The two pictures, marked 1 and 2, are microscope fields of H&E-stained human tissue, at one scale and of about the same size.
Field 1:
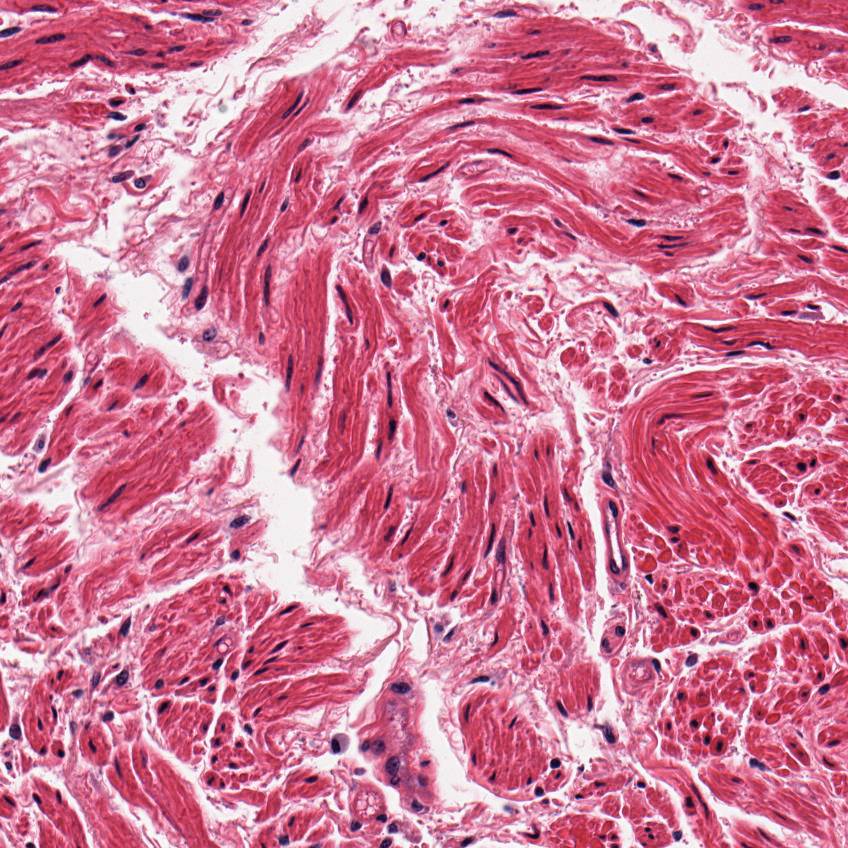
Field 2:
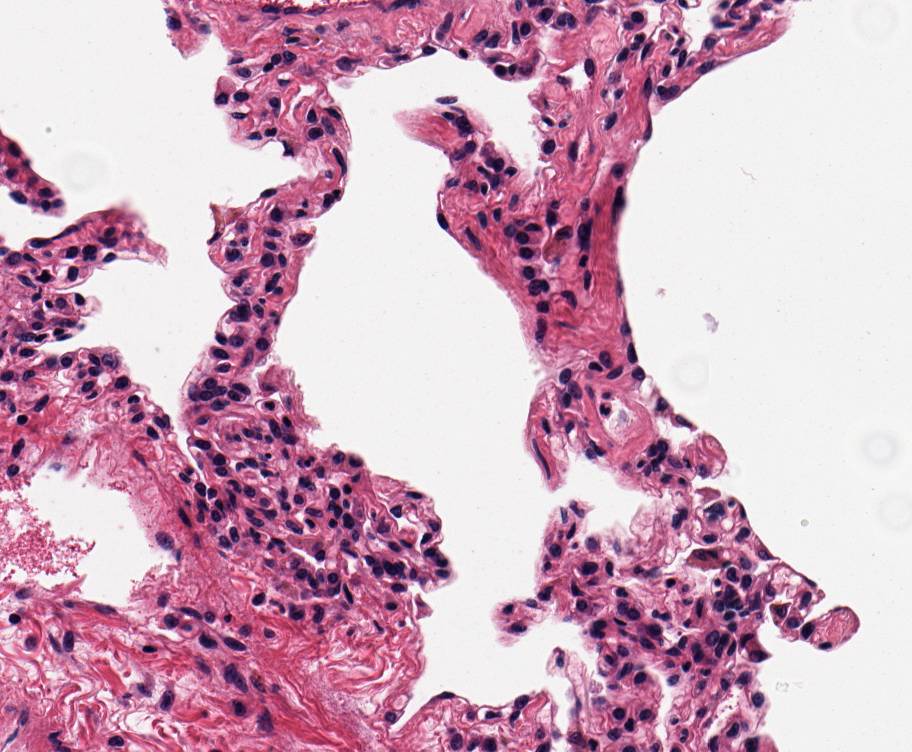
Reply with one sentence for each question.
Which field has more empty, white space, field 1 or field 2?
More of field 2 is empty and white.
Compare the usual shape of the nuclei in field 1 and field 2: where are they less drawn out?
It is field 2 whose nuclei are the rounder.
